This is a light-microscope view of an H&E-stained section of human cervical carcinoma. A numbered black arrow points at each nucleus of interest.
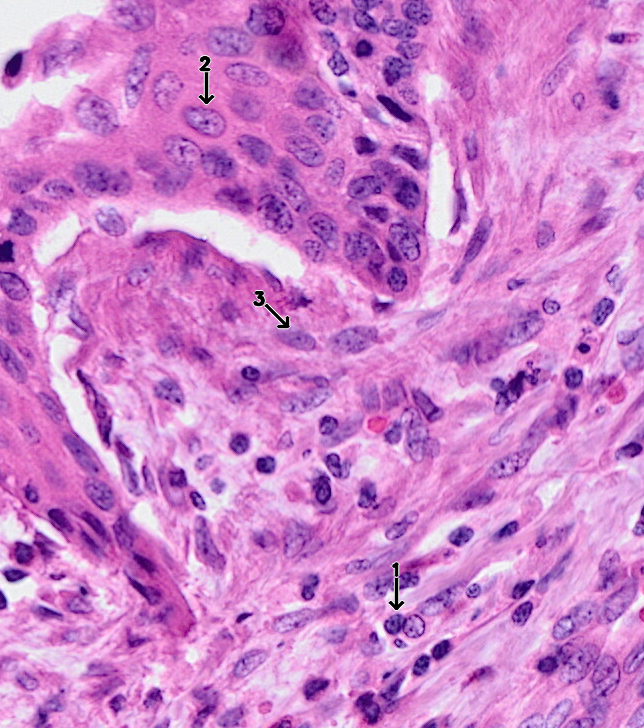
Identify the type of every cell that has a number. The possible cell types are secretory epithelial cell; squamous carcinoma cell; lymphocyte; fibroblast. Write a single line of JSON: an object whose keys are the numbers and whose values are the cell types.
{"1": "lymphocyte", "2": "squamous carcinoma cell", "3": "fibroblast"}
